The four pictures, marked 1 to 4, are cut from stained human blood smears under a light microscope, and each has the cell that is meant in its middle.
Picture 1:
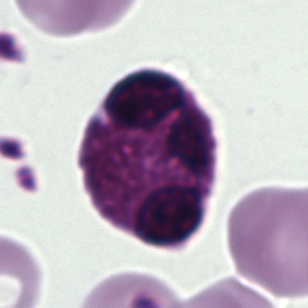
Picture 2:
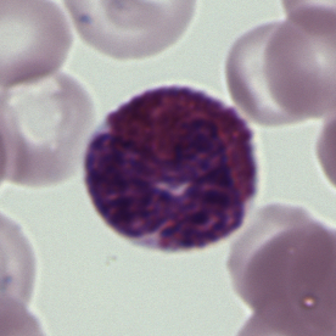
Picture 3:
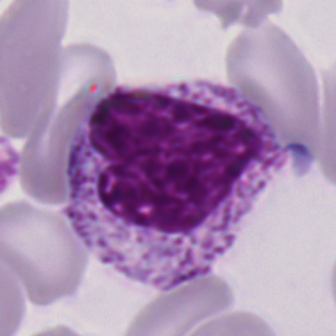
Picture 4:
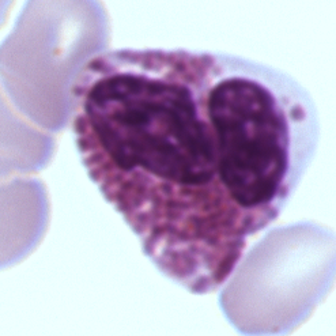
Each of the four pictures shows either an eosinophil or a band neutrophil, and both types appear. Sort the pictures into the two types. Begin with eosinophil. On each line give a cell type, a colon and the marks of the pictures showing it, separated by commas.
eosinophil: 1, 2, 4
band neutrophil: 3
